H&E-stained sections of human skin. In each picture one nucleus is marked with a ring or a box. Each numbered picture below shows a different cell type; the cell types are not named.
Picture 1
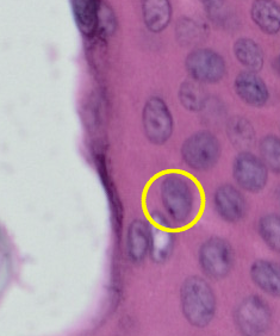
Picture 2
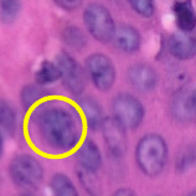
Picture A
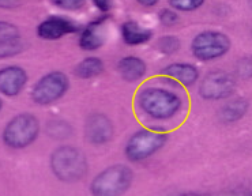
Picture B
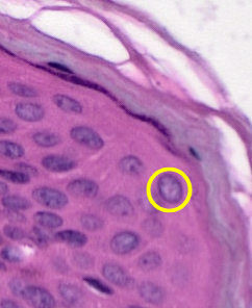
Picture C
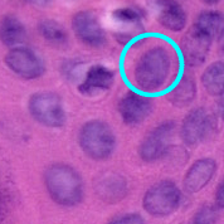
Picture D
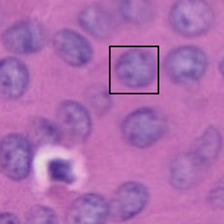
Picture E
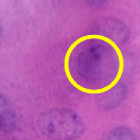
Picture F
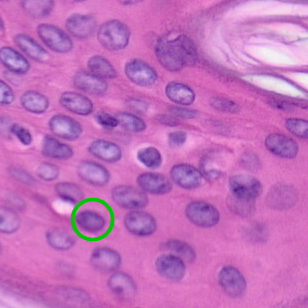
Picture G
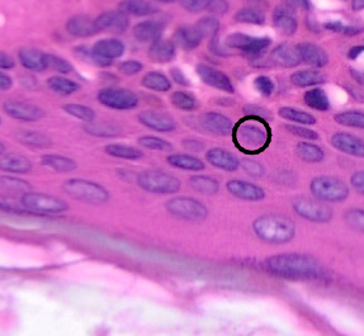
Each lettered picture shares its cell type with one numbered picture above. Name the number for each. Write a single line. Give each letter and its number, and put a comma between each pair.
A 1, B 1, C 2, D 1, E 1, F 1, G 2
